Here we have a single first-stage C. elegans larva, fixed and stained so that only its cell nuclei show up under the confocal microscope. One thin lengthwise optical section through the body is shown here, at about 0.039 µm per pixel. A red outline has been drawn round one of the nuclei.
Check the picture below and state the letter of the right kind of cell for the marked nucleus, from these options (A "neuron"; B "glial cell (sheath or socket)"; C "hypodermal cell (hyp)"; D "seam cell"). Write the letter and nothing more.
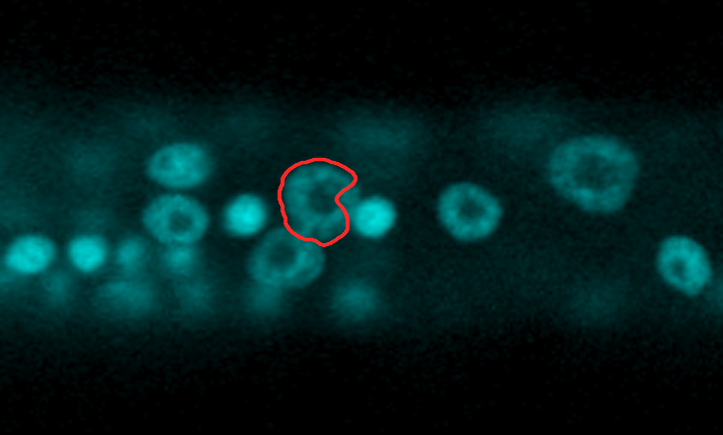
C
